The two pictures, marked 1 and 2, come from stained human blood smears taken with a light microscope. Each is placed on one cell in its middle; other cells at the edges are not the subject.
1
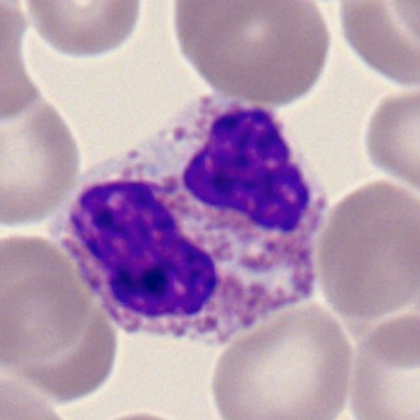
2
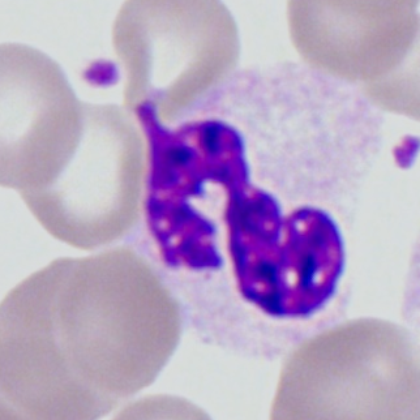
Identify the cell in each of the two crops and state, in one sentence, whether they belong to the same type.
No, while an eosinophil is found in crop 1, a neutrophil is found in crop 2.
